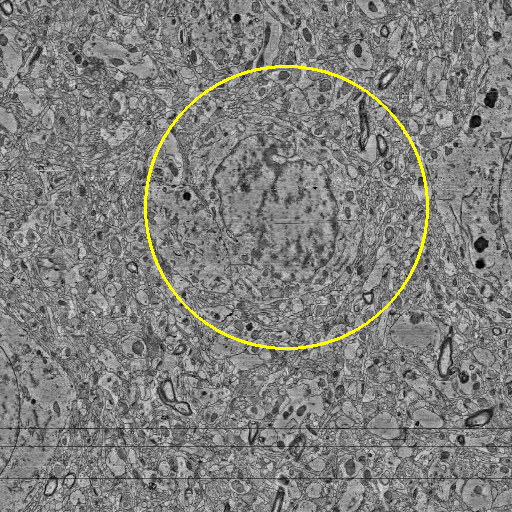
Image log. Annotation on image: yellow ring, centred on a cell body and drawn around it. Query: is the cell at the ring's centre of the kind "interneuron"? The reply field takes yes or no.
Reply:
yes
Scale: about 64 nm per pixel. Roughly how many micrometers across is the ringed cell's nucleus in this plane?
About 10 micrometres by about 7 micrometres in this plane.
